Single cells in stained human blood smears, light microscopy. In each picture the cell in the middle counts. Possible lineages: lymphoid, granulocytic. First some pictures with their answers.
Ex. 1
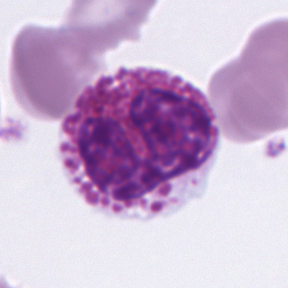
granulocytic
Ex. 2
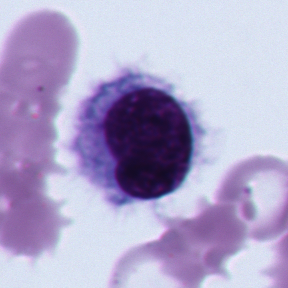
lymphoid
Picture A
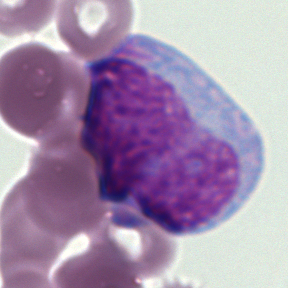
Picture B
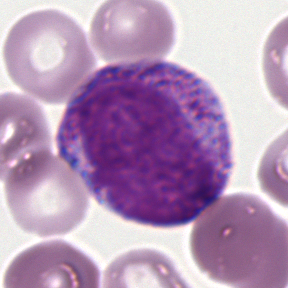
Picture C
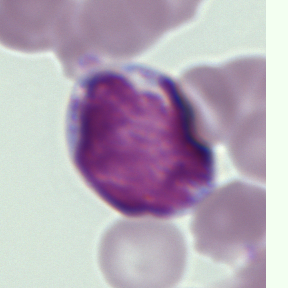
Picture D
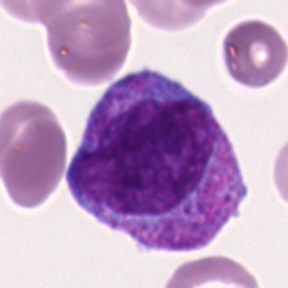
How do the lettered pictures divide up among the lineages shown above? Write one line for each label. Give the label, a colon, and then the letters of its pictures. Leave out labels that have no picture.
lymphoid: C
granulocytic: A, B, D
